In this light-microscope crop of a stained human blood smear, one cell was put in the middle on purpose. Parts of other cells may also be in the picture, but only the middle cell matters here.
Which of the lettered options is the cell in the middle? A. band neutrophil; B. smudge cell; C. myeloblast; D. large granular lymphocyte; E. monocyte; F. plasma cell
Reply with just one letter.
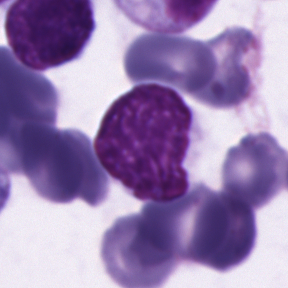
C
